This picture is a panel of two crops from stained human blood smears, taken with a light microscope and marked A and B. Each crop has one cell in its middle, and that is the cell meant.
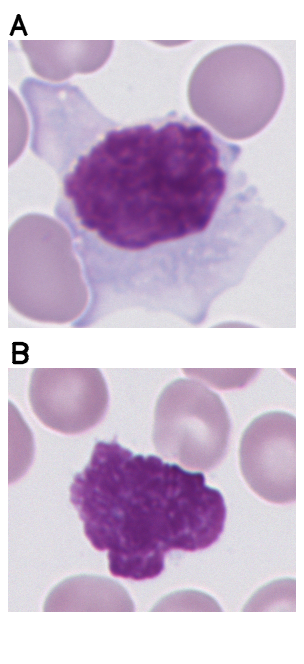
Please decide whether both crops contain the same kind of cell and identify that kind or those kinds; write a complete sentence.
No, crop A corresponds to a hairy cell, while crop B corresponds to a smudge cell.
